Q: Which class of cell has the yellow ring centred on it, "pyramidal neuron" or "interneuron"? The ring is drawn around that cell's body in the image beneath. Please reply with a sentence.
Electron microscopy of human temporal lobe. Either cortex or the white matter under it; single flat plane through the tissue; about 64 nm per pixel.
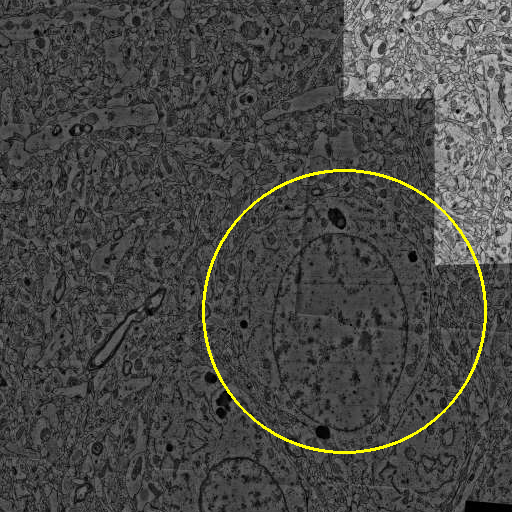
It is centred on a pyramidal neuron.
